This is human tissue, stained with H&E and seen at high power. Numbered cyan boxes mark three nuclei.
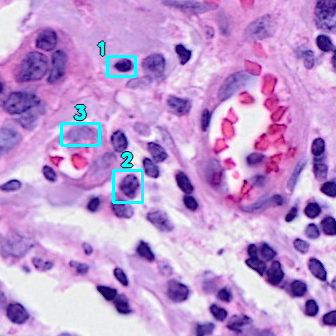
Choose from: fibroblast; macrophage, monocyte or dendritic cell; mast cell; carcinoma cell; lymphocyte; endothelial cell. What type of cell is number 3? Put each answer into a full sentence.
The one numbered 3 among the marked cells is an endothelial cell.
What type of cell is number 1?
What the number 1 marks in this field is a lymphocyte.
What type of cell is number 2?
Numbered cell 2 is a lymphocyte in this tissue section.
